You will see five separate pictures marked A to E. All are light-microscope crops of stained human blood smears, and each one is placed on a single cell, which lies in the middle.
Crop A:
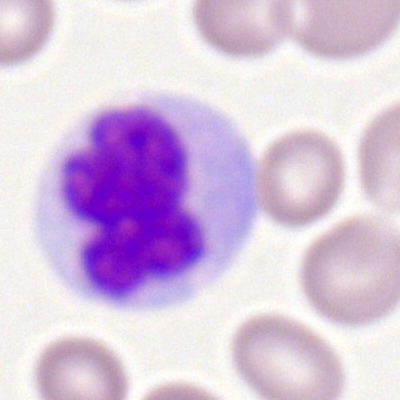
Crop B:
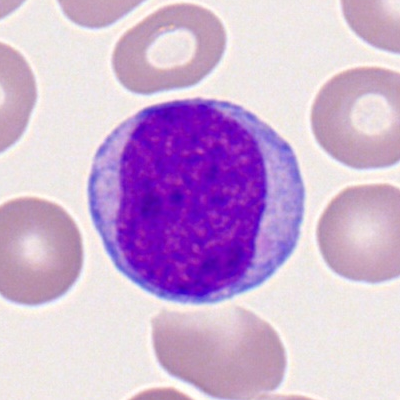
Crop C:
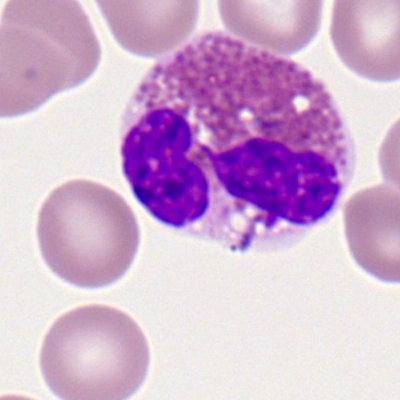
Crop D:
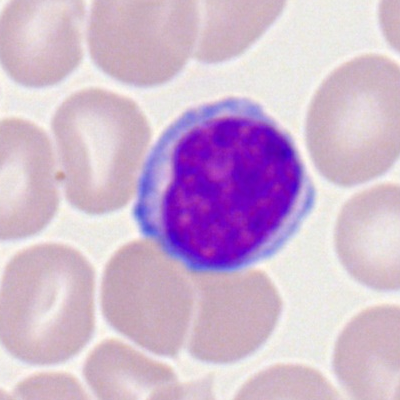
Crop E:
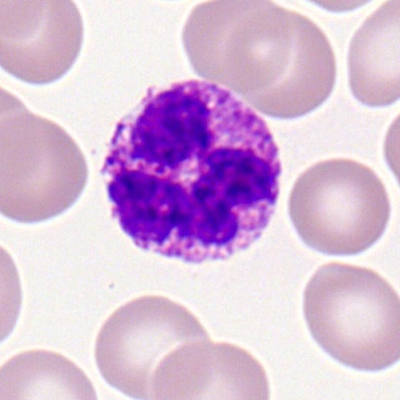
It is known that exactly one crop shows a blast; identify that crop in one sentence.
It is crop B that shows a blast.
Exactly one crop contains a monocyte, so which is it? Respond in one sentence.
Crop A is the correct crop, and it shows a monocyte.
